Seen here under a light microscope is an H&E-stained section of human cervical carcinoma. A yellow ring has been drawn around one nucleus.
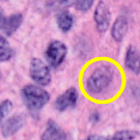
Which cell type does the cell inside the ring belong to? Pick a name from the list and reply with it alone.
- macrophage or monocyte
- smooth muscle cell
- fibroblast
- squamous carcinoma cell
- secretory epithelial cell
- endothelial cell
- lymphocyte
squamous carcinoma cell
